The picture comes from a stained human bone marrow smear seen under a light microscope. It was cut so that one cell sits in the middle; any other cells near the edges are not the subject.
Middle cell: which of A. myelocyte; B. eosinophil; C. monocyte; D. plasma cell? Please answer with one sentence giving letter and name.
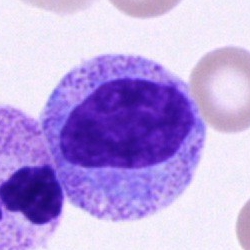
Option A is correct in naming the middle cell a myelocyte.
